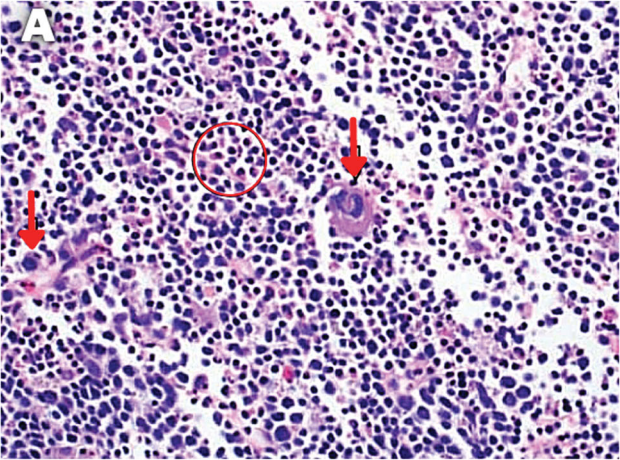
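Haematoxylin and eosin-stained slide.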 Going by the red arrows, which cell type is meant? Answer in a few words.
Megakaryocytes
